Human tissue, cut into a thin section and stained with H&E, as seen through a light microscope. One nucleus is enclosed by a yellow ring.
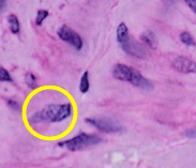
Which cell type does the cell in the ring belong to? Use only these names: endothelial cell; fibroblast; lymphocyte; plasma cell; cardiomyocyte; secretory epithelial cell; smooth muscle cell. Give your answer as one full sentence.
Histopathologically, the cell in the ring is a fibroblast.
